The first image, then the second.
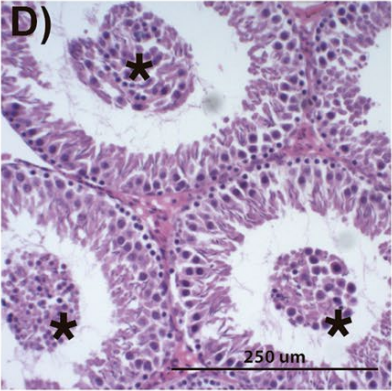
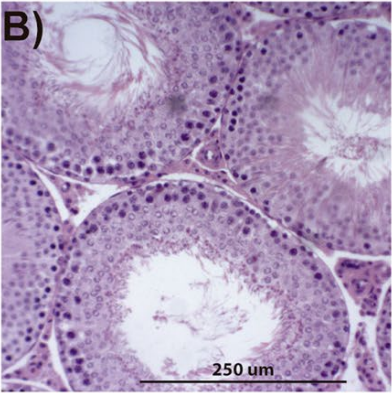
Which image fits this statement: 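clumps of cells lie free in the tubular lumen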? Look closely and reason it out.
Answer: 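Second image: tubule lumens hold only pale, wispy material. First image: several tubule lumens contain rounded masses of nucleated cells.
Hence: the first image.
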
